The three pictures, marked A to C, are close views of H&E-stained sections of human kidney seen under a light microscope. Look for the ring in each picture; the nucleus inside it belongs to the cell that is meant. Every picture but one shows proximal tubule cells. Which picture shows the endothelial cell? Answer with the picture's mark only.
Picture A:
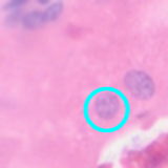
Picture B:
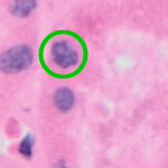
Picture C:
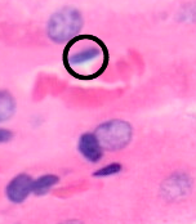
C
